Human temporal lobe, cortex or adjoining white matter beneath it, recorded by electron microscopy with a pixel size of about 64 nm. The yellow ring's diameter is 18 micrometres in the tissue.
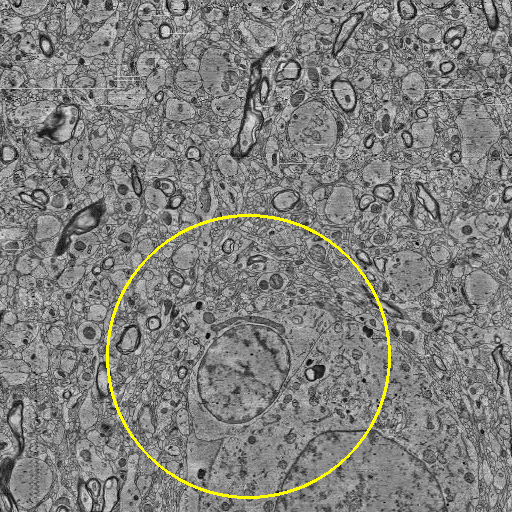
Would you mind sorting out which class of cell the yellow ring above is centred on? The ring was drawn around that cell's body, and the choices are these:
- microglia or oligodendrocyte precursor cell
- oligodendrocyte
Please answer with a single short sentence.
This is the cell body of a microglial cell or oligodendrocyte precursor cell.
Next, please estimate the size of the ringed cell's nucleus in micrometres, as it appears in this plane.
The nucleus of the ringed cell is approximately 7 by 6 micrometres in this plane.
